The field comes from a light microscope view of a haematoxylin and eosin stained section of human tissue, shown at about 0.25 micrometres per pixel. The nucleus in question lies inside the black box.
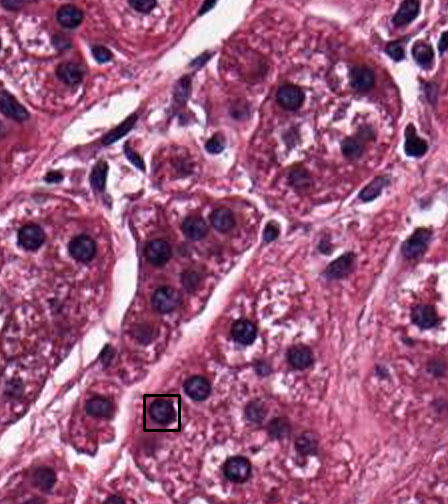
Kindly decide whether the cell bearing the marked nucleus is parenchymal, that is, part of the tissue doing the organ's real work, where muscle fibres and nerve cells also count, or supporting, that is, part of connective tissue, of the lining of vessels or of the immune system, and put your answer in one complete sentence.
The marked nucleus has as its cell a parenchymal cell, namely an adrenal cortical cell.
